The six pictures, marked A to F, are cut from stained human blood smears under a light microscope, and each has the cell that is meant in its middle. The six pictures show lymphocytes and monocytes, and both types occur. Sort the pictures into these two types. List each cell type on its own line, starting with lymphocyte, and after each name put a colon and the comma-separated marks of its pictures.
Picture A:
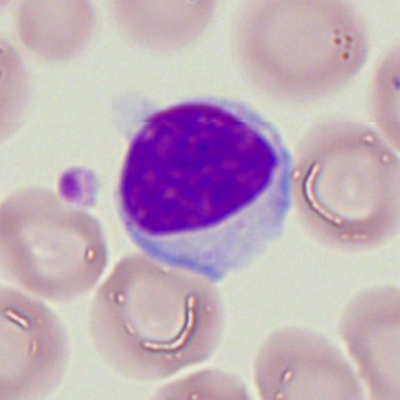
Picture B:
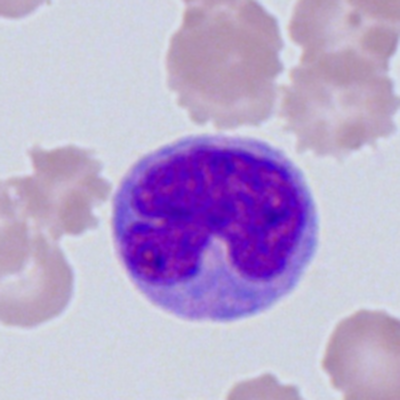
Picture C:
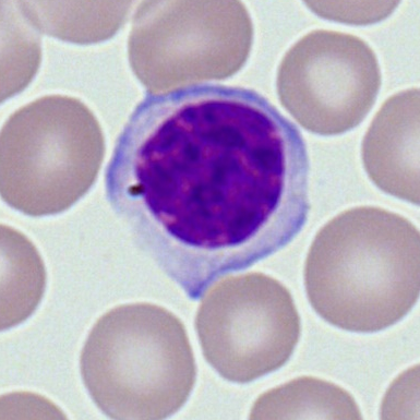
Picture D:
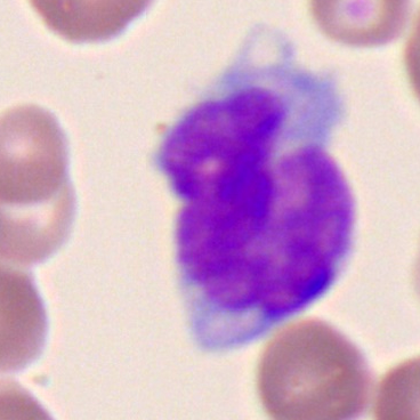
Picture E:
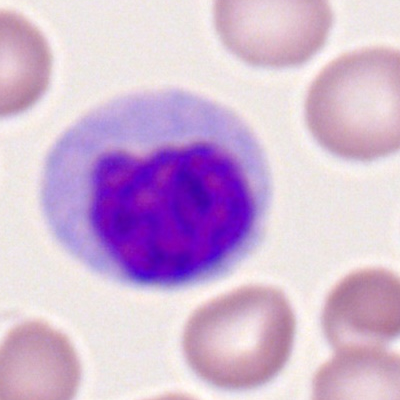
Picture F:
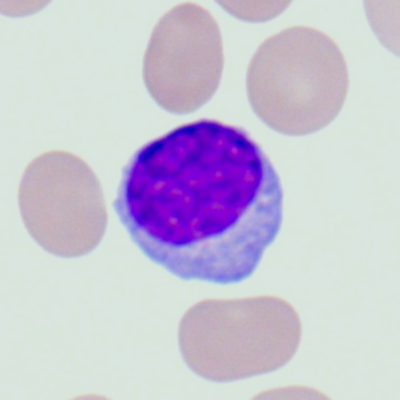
lymphocyte: A, C, F
monocyte: B, D, E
